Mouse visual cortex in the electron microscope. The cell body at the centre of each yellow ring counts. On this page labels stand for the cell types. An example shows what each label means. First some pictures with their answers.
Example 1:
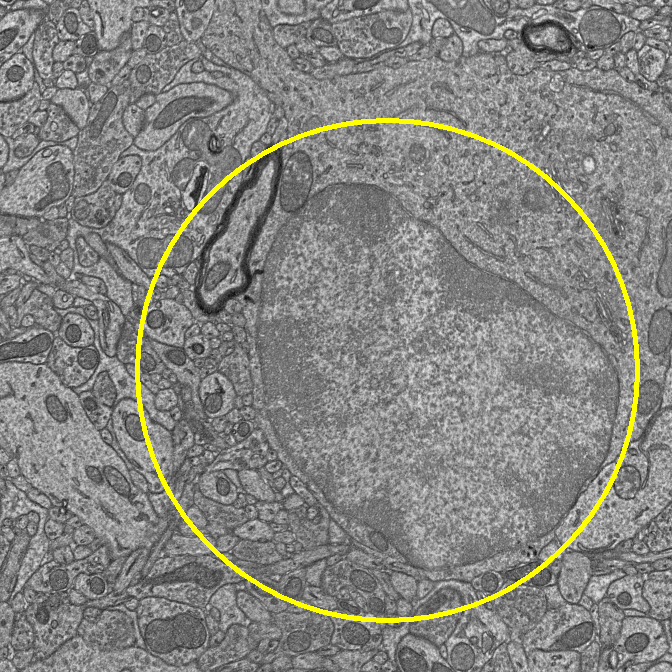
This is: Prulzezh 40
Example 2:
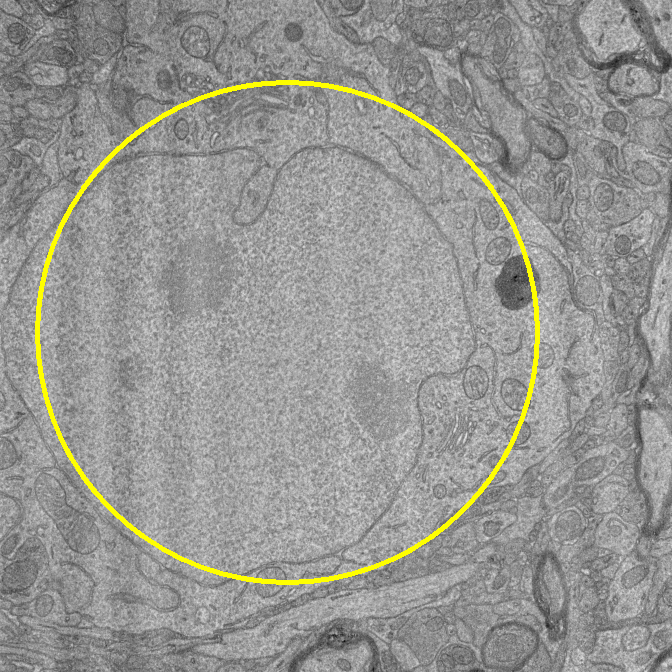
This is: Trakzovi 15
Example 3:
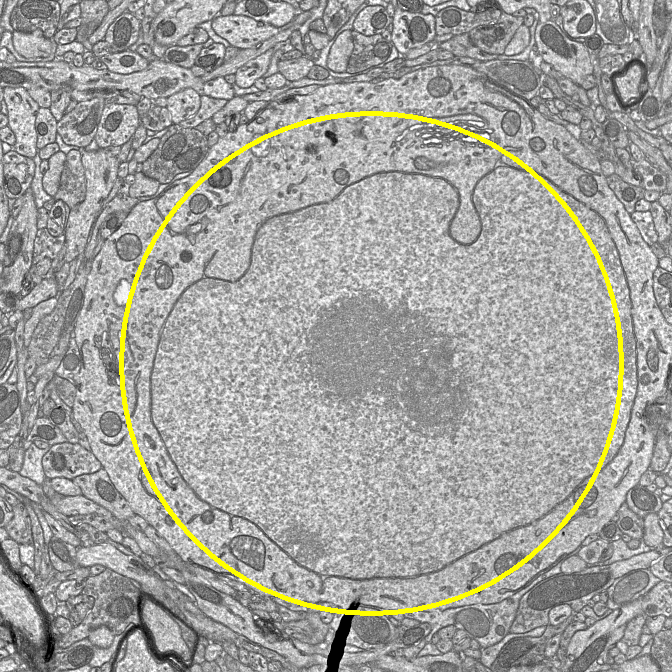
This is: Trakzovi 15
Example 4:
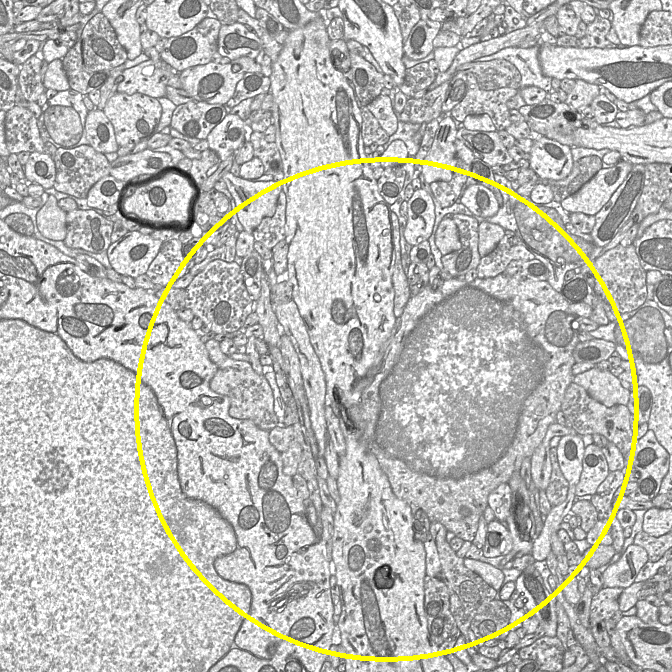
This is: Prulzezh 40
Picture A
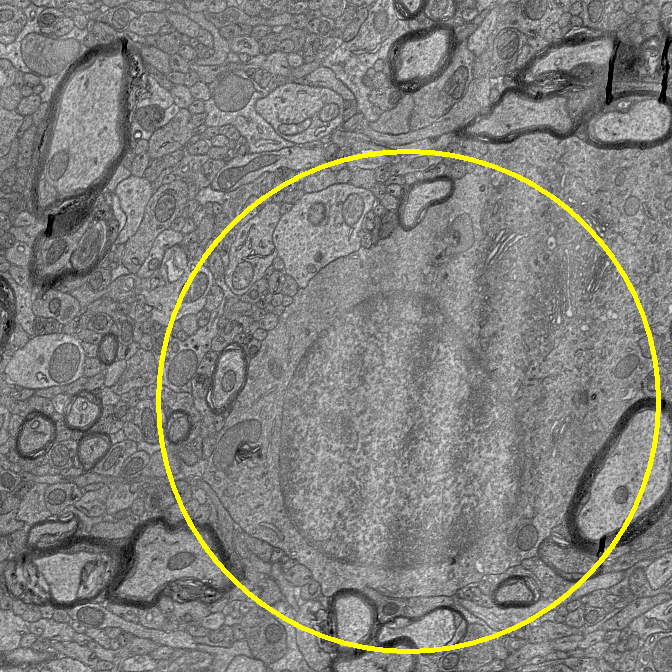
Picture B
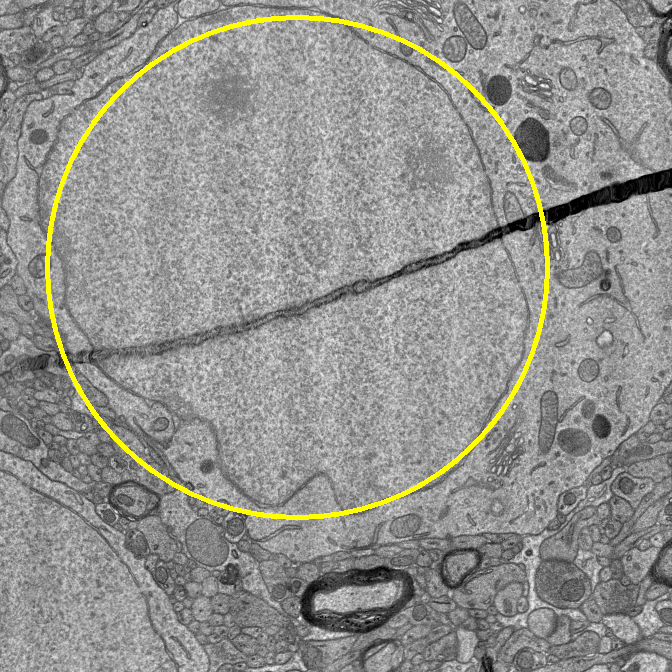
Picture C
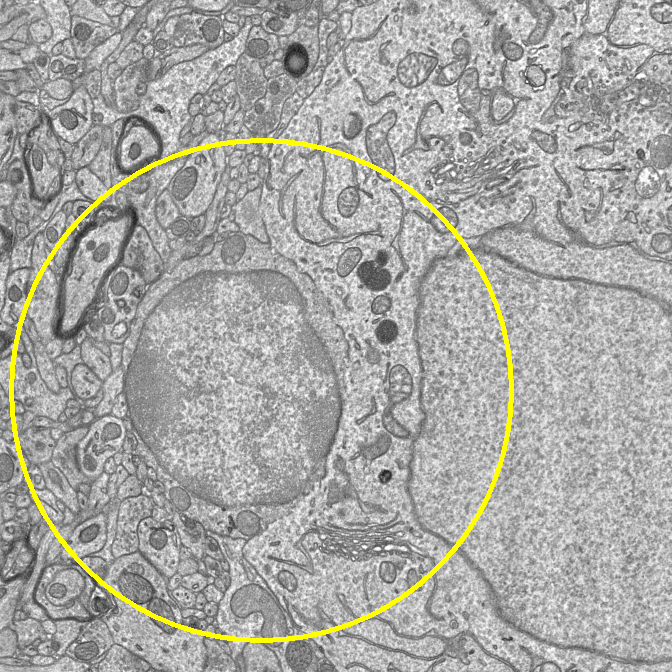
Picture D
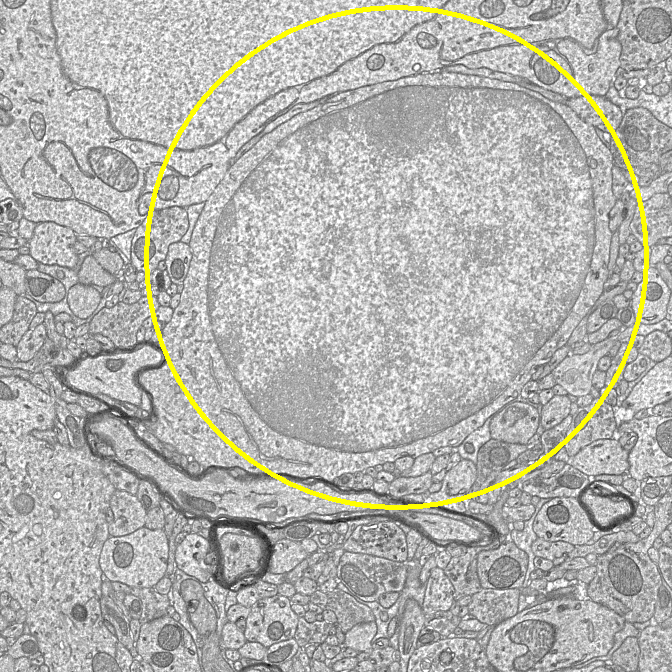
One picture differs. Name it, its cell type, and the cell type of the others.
Picture B: Trakzovi 15. All others: Prulzezh 40.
